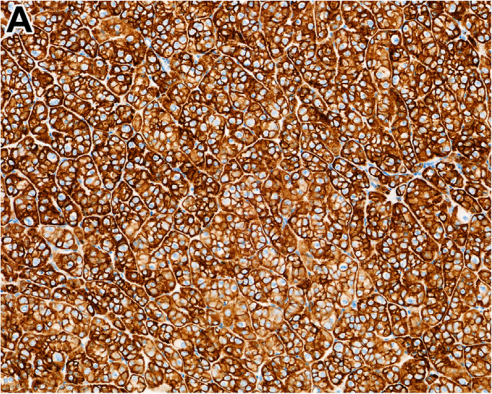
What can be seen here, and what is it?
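The cells are polygonal with abundant cytoplasm stained strongly and diffusely brown, darkest along the cell borders, which appear almost black. Nuclei are small, round and fairly uniform, blue with the counterstain, and sit centrally within the brown cytoplasm.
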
